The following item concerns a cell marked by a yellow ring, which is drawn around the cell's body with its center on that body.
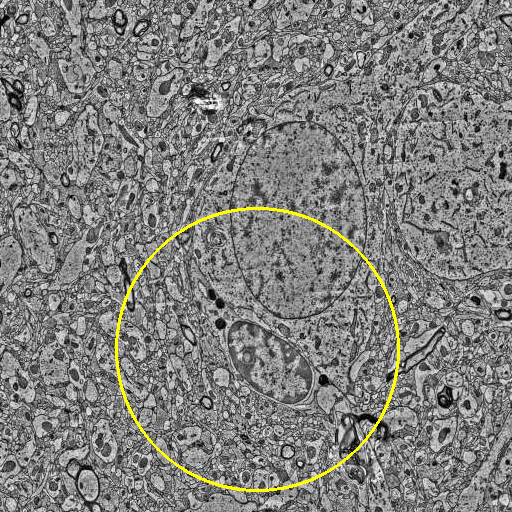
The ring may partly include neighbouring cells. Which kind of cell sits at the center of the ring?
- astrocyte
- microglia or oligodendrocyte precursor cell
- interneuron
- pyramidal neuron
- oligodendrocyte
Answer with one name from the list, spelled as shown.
microglia or oligodendrocyte precursor cell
